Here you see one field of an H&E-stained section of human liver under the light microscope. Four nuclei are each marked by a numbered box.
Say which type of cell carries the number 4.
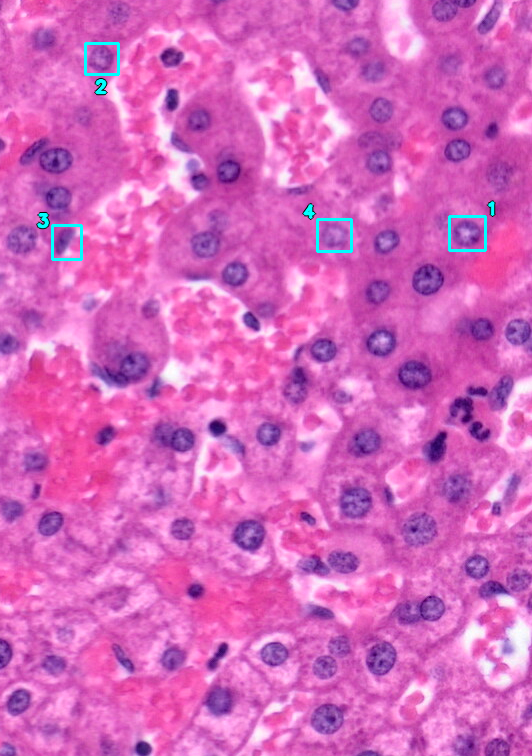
hepatocyte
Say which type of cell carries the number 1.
hepatocyte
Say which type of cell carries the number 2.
hepatocyte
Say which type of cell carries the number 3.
endothelial cell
